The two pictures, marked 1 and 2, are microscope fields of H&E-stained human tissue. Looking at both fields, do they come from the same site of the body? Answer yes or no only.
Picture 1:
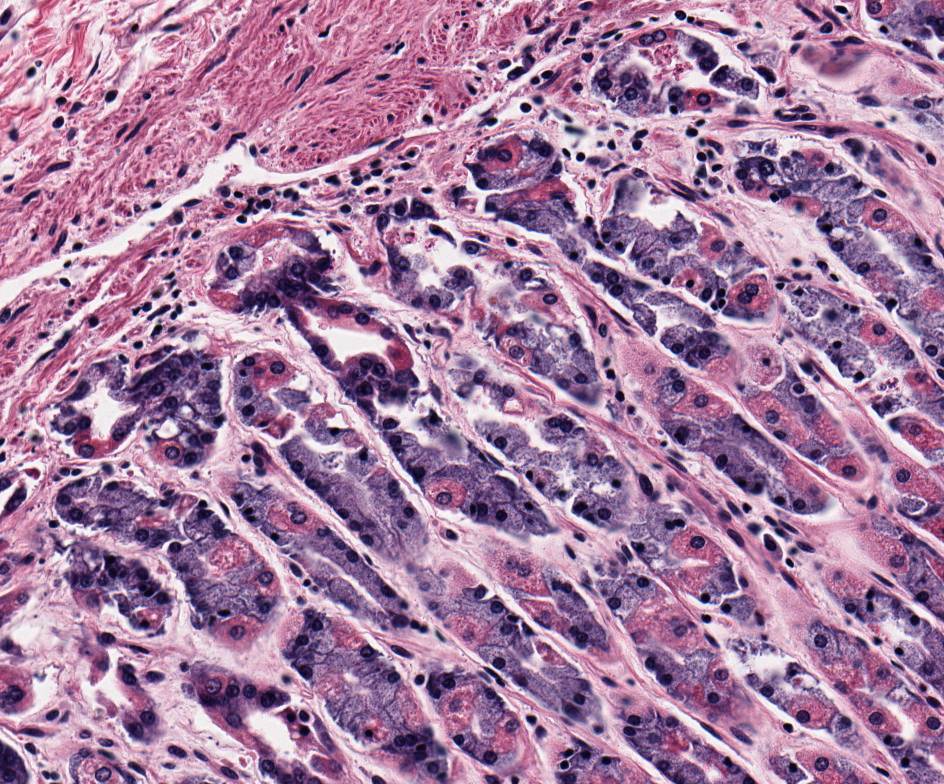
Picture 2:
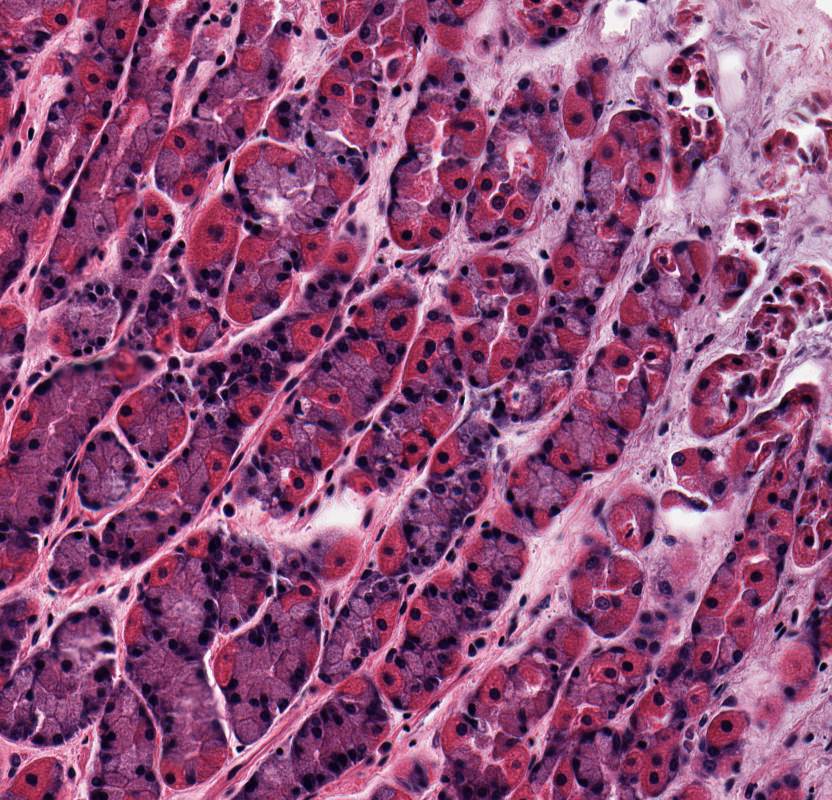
yes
